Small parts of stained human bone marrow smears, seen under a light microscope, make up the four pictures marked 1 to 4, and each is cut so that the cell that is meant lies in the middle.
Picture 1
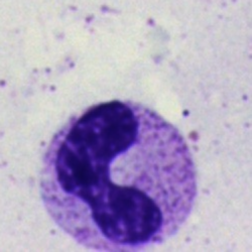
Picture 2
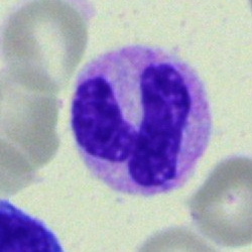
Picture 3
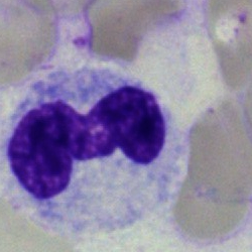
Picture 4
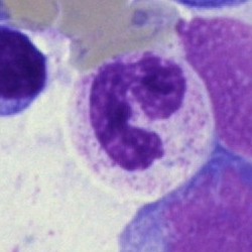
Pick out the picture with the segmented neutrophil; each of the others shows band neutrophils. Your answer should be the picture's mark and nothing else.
4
